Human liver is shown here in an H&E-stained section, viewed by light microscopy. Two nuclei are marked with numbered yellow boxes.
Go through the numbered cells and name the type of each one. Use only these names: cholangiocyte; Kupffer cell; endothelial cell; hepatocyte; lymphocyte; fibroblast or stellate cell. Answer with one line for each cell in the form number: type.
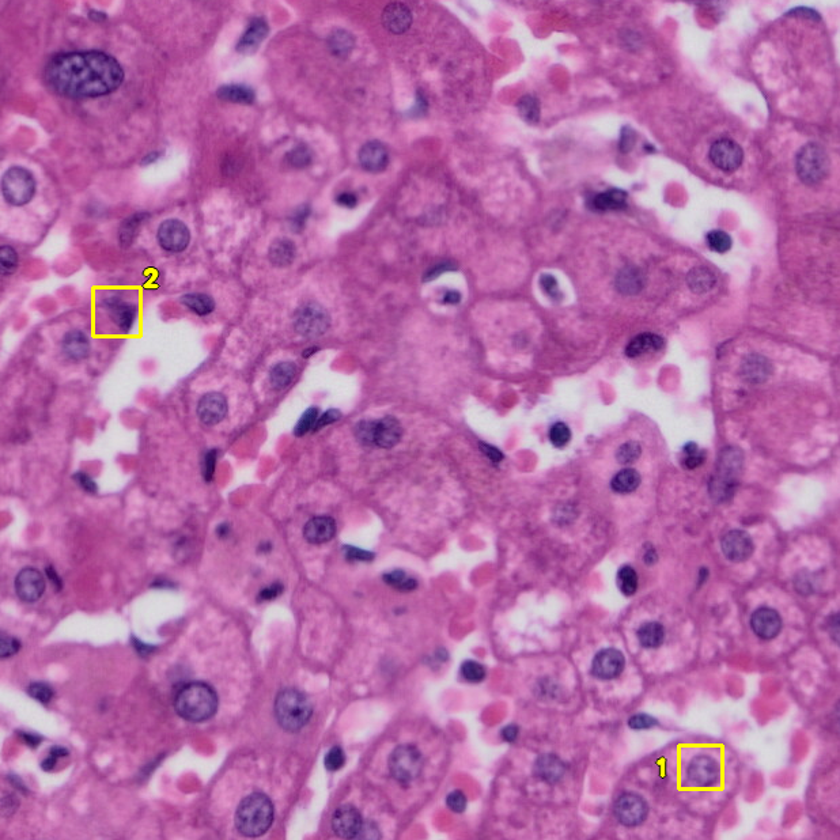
1: hepatocyte
2: fibroblast or stellate cell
